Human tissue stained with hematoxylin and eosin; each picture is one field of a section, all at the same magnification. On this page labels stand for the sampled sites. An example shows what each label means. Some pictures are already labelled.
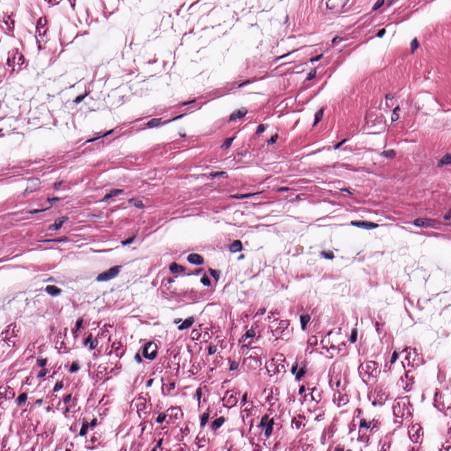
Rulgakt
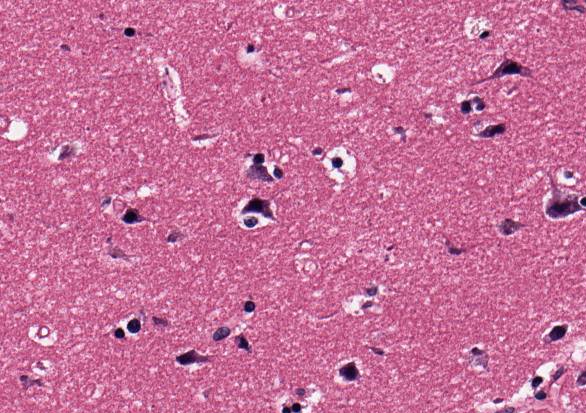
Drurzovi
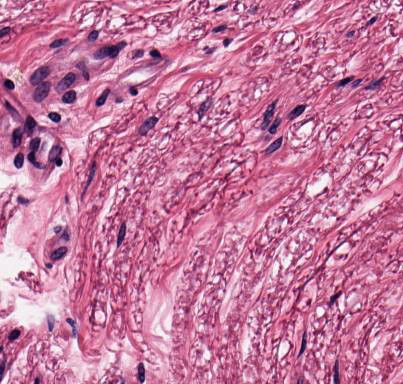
Rulgakt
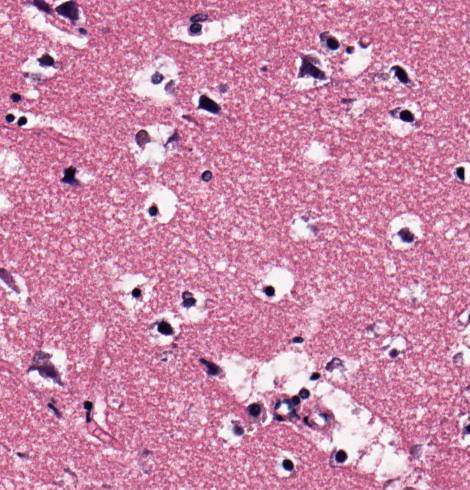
Drurzovi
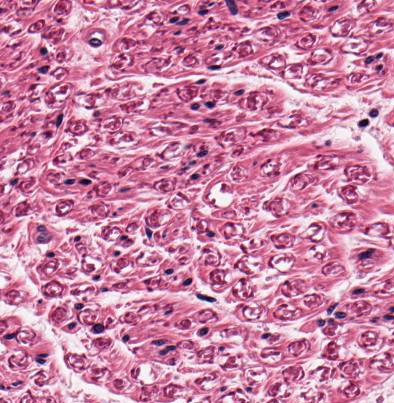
Rulgakt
